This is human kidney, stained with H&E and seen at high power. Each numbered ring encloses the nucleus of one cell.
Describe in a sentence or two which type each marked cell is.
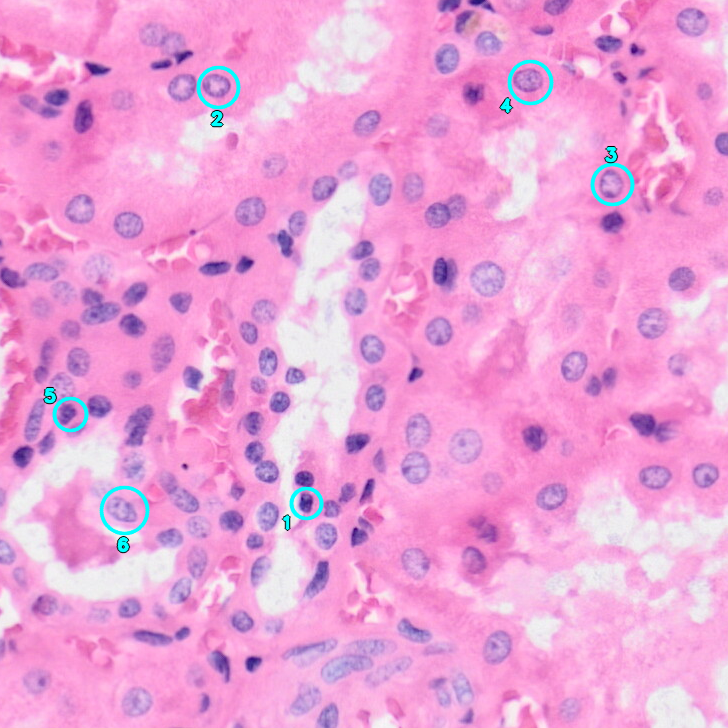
Cells 1, 5 and 6 are collecting duct cells. Cells 2, 3 and 4 are proximal tubule cells.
